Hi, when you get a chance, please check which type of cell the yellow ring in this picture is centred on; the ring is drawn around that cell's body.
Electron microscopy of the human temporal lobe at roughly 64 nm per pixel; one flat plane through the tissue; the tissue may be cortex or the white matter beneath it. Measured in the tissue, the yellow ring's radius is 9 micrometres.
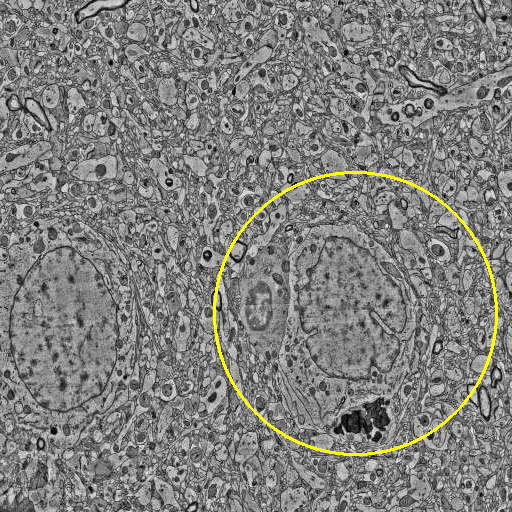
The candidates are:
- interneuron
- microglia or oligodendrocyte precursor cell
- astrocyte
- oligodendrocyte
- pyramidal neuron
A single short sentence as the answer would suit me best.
The ring is drawn around the body of an interneuron.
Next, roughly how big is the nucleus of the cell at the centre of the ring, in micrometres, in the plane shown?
In this plane the nucleus measures roughly 9 by 7 micrometers.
